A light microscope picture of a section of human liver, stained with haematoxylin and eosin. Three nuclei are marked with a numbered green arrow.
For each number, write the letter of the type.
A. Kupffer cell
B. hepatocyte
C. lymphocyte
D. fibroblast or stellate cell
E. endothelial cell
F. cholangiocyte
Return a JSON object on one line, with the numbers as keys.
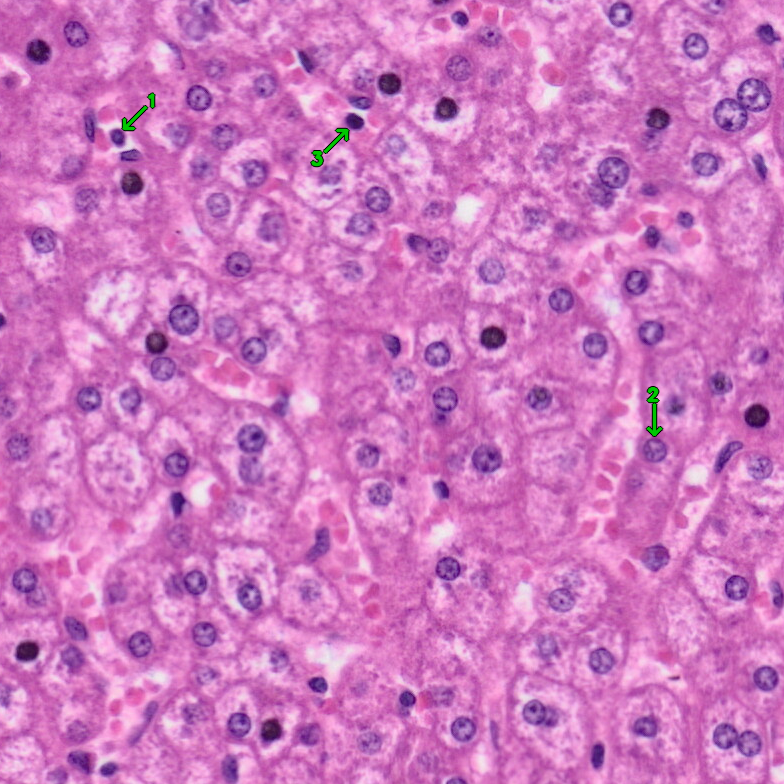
{"1": "C", "2": "B", "3": "C"}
